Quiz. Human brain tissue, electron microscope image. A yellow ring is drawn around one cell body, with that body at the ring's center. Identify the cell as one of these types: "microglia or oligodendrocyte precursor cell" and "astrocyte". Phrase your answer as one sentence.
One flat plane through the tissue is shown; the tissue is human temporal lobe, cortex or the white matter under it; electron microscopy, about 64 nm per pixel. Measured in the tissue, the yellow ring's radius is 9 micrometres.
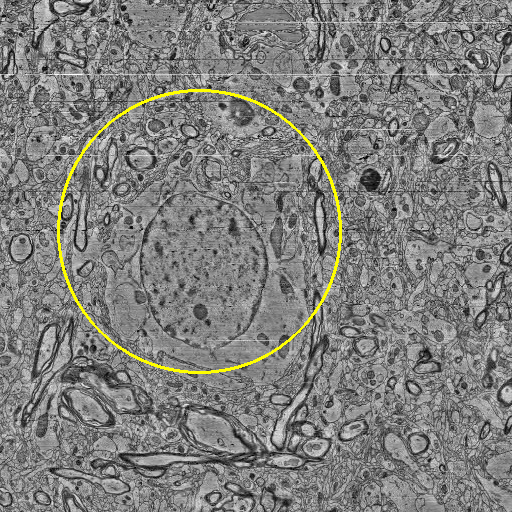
At the center of the ring sits an astrocyte.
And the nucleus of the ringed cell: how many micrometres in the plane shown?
Approximately 10 x 8 micrometres in this plane.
